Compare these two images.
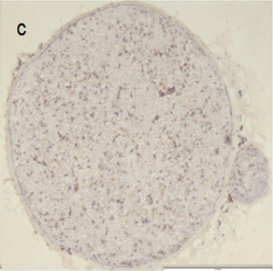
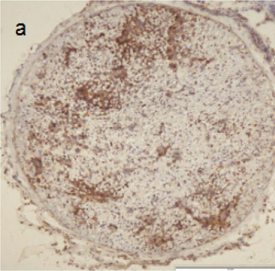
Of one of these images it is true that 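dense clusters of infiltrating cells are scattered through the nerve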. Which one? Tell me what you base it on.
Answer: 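First image: the nerve cross-section is pale with only sparse, faintly stained cells. Second image: many dark brown patches of stained cells are spread across the cross-section. The answer: the second image.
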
